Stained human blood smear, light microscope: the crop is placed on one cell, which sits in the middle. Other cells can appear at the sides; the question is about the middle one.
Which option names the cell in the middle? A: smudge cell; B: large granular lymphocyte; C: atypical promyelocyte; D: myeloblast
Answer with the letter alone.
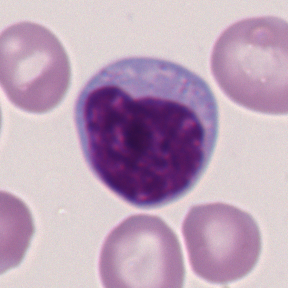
B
